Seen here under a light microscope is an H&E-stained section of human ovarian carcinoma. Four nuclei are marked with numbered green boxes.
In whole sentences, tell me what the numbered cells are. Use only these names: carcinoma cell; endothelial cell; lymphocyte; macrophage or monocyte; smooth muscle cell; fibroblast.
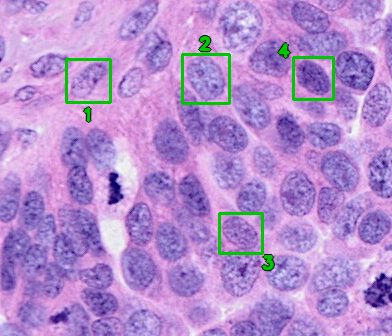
Cell 1 is a fibroblast. Cells 2, 3 and 4 are carcinoma cells.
